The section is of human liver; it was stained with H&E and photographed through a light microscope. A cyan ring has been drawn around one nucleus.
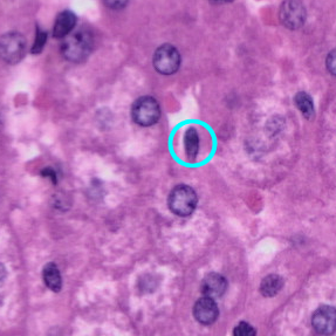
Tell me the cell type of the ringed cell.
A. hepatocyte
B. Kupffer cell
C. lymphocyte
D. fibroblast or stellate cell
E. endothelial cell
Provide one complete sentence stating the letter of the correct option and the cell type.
The correct option, C, describes the ringed cell as a lymphocyte.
